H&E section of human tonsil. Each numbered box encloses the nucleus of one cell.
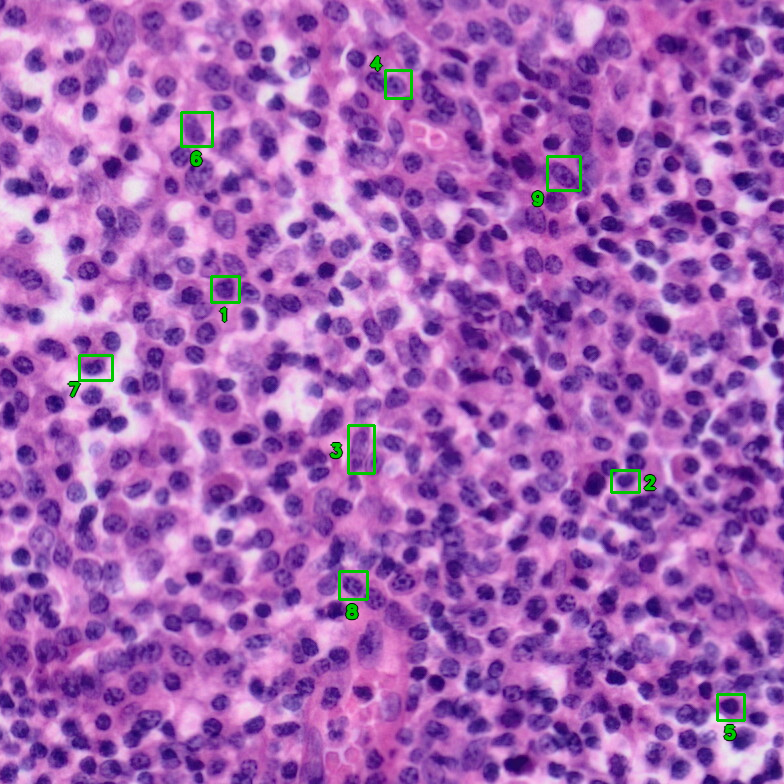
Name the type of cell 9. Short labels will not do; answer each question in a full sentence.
The cell numbered 9 has been identified as a squamous epithelial cell.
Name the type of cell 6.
At number 6, the marked cell is a squamous epithelial cell.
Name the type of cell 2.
The nucleus marked 2 is the nucleus of a small lymphocyte.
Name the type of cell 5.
The numbered cell 5 is identified here as a plasma cell.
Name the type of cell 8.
Regarding cell 8, this one is a plasma cell.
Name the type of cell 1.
The cell indicated with the number 1 is classed as a plasma cell.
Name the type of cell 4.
Number 4 is placed on a plasma cell here.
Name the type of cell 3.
In this section, the cell tagged 3 is a squamous epithelial cell.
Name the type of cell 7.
Here, the cell given the number 7 is a plasma cell.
